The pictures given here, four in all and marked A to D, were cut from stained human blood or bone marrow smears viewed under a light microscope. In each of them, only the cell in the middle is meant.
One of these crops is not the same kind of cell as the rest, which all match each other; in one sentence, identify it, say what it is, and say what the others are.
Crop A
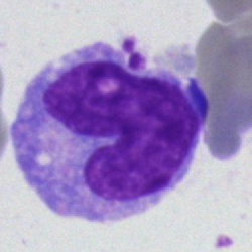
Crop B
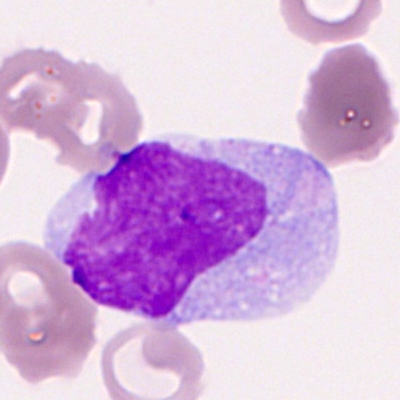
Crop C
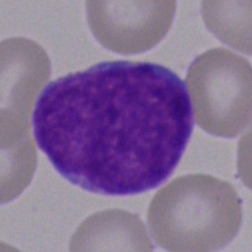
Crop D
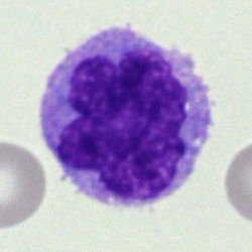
All crops show monocytes except crop C, which is a blast.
